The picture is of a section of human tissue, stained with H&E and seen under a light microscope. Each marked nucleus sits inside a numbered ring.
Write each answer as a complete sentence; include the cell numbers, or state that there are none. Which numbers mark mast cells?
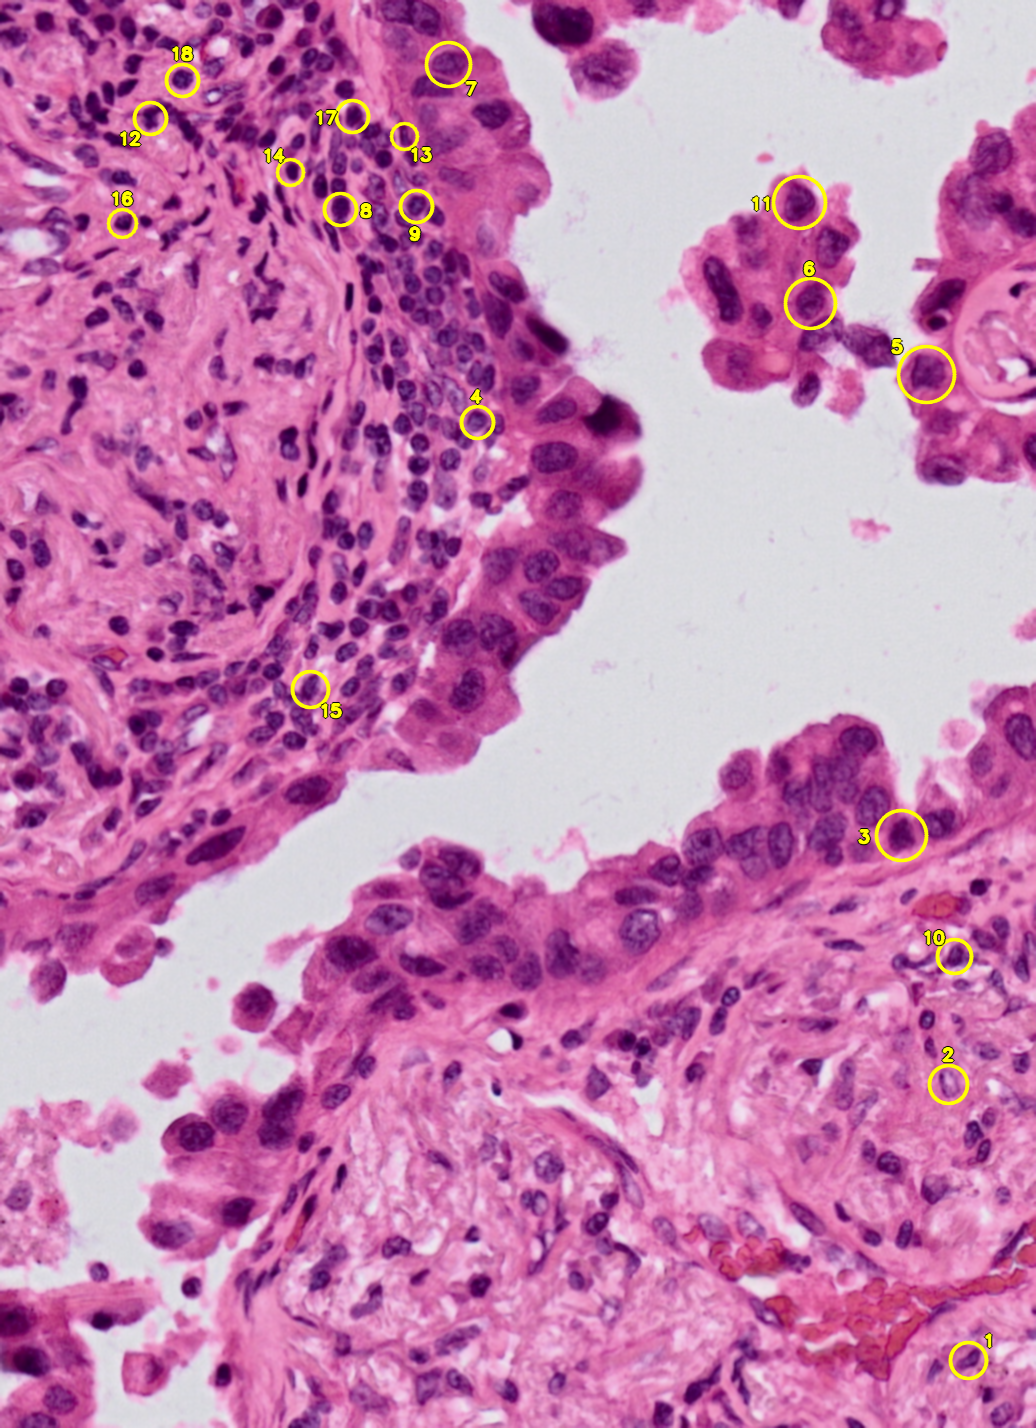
The count of mast cells among the numbered cells is zero.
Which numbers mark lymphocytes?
Cells that were given the numbers 4, 8, 9, 12, 13, 14, 15, 16, 17 and 18 are lymphocytes.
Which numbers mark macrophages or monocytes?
In this set of numbered cells, only cell 2 is a macrophage or monocyte.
